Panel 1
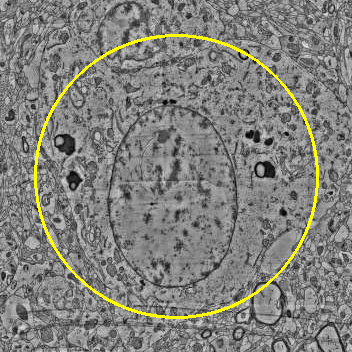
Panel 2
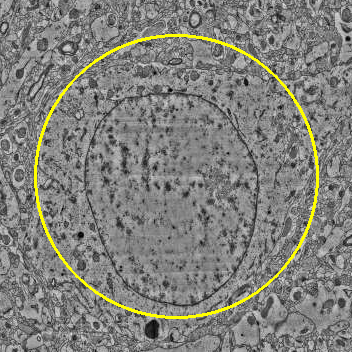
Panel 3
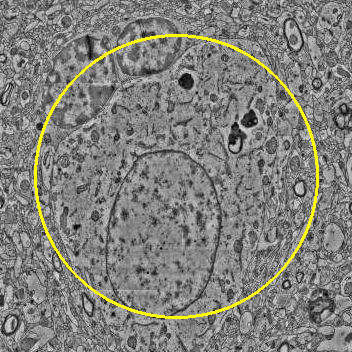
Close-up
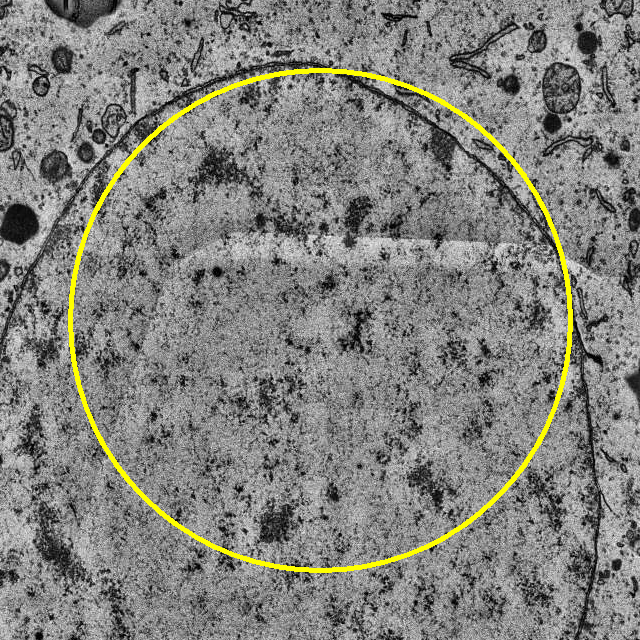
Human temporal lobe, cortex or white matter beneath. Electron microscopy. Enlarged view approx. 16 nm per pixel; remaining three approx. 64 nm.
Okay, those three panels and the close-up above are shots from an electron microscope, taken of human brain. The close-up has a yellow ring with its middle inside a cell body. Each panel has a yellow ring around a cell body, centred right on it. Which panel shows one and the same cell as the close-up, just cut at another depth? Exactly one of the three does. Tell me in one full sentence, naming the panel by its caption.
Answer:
The close-up captures the cell that carries a yellow ring in Panel 3.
